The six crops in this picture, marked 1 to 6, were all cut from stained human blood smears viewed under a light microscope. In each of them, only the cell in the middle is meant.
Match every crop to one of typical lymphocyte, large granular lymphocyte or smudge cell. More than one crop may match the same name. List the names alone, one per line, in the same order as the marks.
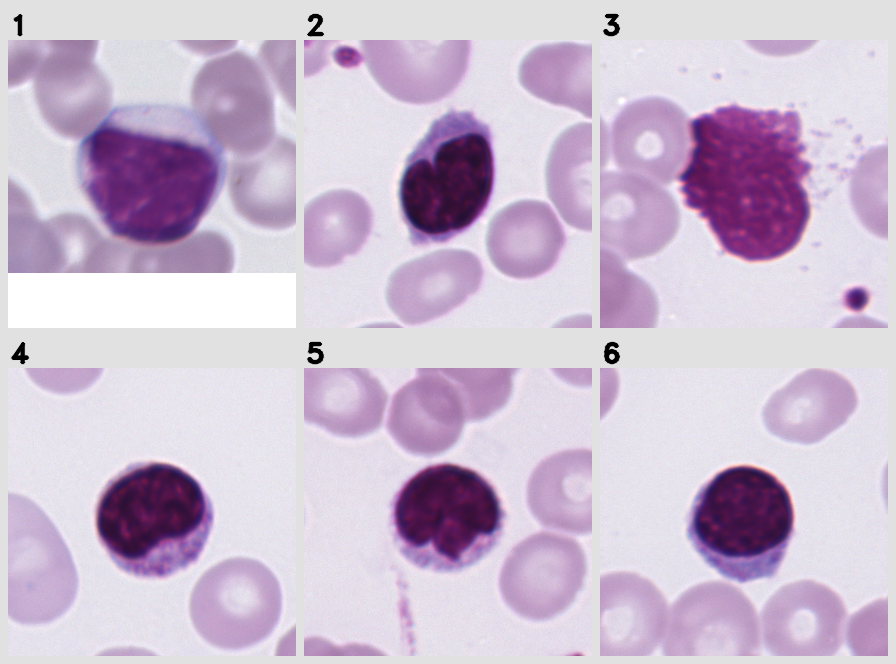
large granular lymphocyte
typical lymphocyte
smudge cell
large granular lymphocyte
typical lymphocyte
typical lymphocyte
